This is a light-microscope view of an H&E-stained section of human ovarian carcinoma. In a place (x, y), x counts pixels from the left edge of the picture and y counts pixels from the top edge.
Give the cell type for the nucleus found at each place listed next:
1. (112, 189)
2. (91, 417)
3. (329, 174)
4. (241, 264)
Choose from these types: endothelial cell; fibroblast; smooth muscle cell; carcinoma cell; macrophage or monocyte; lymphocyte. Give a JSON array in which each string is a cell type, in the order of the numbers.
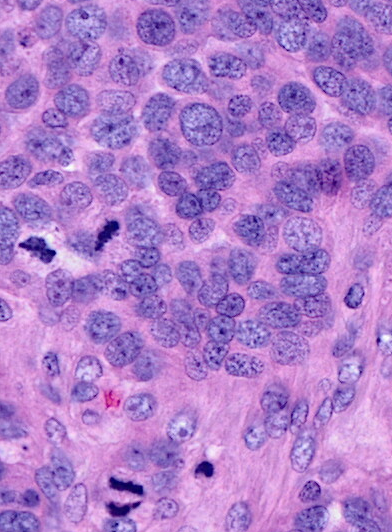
["carcinoma cell", "endothelial cell", "carcinoma cell", "carcinoma cell"]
